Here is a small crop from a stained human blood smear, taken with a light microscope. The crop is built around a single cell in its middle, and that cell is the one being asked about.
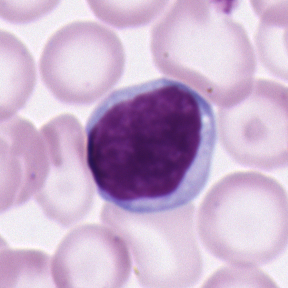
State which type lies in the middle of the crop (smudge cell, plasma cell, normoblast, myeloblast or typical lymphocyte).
typical lymphocyte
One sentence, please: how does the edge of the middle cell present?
No projections interrupt the outline; it is smooth all the way round.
